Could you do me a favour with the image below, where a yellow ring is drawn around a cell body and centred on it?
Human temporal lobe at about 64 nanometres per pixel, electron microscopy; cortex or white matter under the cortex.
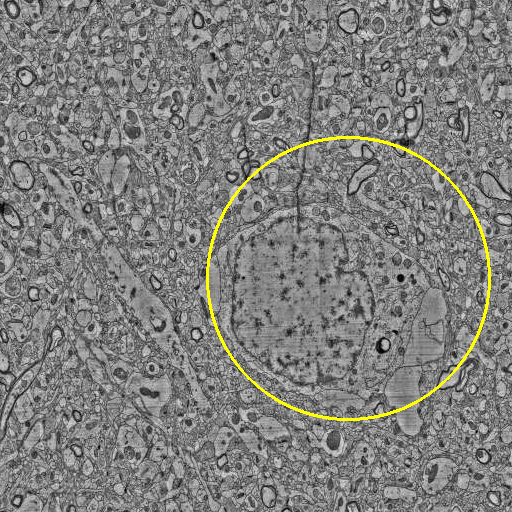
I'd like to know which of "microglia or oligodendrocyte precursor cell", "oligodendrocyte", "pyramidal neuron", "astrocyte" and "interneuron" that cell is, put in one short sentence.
The cell at the ring's centre is an interneuron.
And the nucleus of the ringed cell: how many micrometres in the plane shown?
In this plane, the nucleus is roughly 11 by 9 micrometres.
